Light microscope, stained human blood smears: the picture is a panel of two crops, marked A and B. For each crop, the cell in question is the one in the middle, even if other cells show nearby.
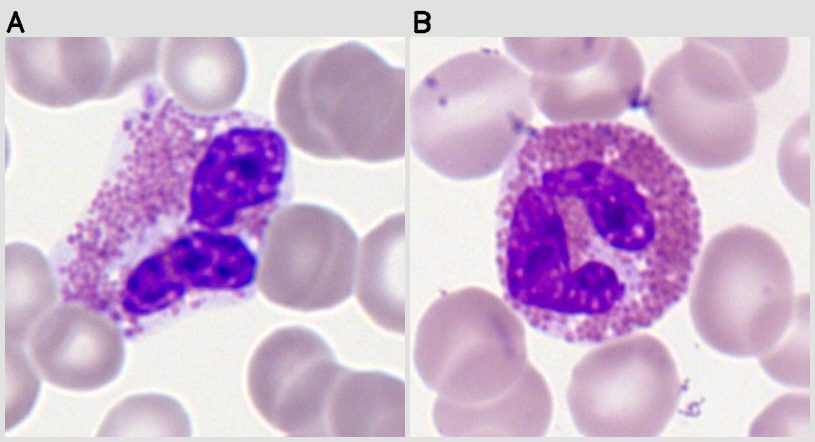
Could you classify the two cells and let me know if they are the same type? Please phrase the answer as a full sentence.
Yes, both crops feature eosinophils at the centre.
